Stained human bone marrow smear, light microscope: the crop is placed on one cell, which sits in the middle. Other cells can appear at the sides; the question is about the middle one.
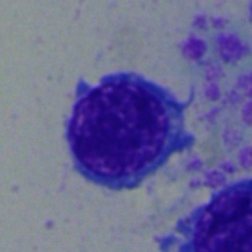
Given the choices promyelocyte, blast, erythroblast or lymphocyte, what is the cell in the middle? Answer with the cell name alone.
erythroblast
